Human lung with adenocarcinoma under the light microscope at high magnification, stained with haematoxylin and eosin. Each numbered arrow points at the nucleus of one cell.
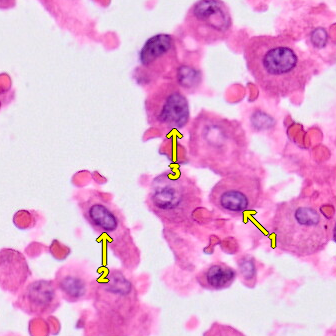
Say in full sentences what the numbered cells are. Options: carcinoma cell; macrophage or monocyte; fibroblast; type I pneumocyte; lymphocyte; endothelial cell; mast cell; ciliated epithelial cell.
Cells 1 and 2 are macrophages or monocytes. Cell 3 is a carcinoma cell.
